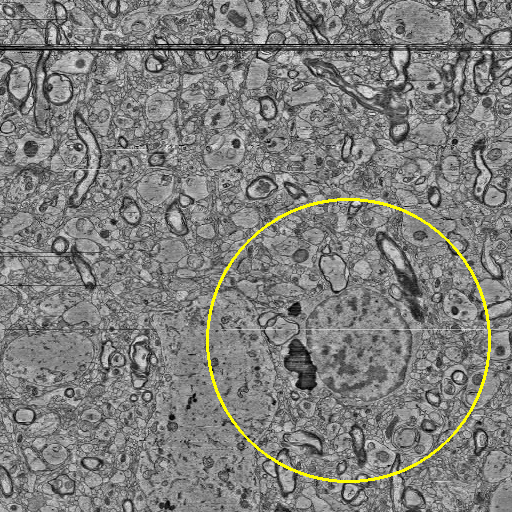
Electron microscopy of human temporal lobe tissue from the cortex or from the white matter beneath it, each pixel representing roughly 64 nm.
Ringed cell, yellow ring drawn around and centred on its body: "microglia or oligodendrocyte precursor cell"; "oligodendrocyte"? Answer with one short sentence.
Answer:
This ringed cell is an oligodendrocyte.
